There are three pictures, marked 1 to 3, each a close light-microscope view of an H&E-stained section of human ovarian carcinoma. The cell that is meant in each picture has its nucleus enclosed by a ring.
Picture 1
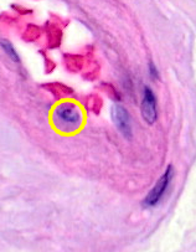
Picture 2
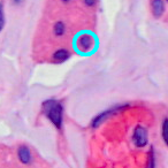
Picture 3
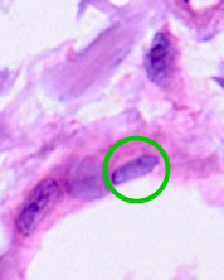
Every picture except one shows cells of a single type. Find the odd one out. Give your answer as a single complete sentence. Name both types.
Picture 2 differs, because its cell is a smooth muscle cell and the rest are endothelial cells.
